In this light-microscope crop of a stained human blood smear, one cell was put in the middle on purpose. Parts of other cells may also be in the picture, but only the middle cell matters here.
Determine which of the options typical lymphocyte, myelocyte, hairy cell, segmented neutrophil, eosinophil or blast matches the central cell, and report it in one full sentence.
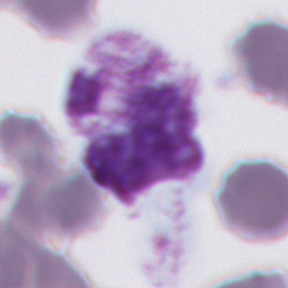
At the crop's centre, the cell is a segmented neutrophil.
